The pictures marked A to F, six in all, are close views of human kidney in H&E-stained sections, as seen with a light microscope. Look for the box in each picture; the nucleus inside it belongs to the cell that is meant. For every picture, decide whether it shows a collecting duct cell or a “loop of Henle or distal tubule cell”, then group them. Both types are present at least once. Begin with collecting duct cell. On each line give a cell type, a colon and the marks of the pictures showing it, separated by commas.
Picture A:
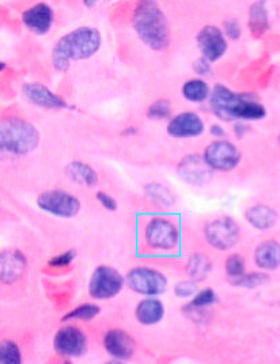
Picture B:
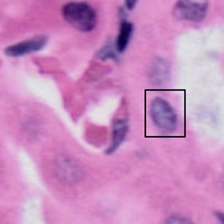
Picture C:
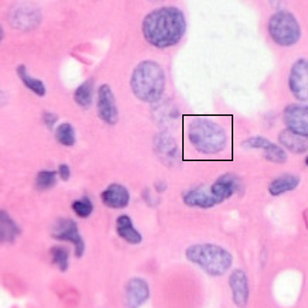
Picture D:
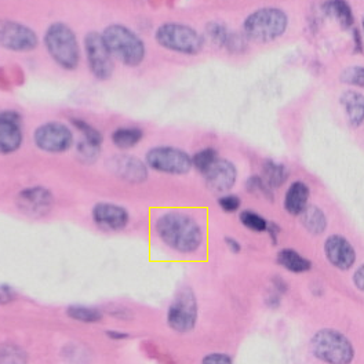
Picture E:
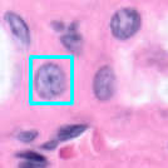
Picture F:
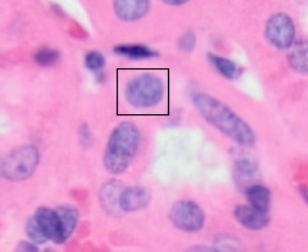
collecting duct cell: C, F
loop of Henle or distal tubule cell: A, B, D, E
